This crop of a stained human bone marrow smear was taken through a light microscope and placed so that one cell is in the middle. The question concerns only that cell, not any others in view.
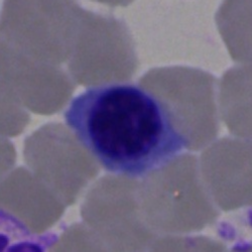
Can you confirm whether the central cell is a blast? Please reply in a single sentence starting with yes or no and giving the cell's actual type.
No, calling it a blast is wrong; the middle cell is an erythroblast.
